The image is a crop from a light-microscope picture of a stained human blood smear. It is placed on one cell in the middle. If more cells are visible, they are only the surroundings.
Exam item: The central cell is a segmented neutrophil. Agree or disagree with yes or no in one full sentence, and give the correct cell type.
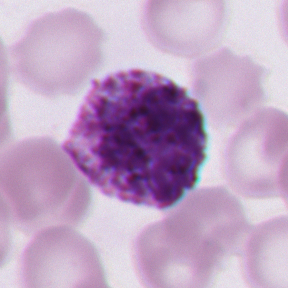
No, the cell at the centre of the crop corresponds to a basophil, not a segmented neutrophil.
